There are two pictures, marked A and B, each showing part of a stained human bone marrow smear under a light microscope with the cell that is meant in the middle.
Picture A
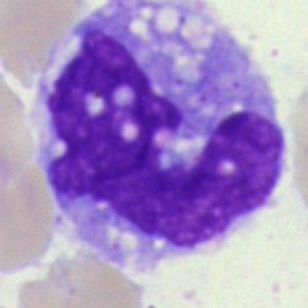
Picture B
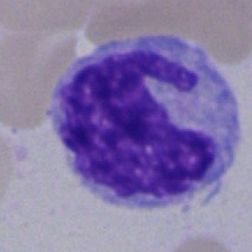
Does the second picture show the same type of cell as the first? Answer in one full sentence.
Yes, both are monocytes.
